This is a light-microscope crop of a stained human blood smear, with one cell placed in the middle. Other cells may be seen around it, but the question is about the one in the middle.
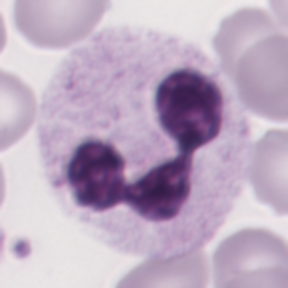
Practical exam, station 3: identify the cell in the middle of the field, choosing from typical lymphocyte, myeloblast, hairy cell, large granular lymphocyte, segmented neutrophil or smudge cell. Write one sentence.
The cell in the middle of this crop is a segmented neutrophil.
